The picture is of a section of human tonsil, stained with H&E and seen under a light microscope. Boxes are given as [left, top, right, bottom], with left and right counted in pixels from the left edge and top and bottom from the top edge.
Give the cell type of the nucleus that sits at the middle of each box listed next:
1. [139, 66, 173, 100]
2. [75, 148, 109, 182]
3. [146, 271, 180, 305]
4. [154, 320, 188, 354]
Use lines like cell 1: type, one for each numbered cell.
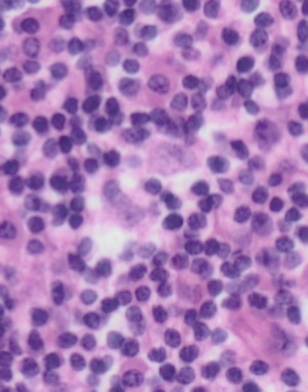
cell 1: plasma cell
cell 2: small lymphocyte
cell 3: small lymphocyte
cell 4: small lymphocyte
